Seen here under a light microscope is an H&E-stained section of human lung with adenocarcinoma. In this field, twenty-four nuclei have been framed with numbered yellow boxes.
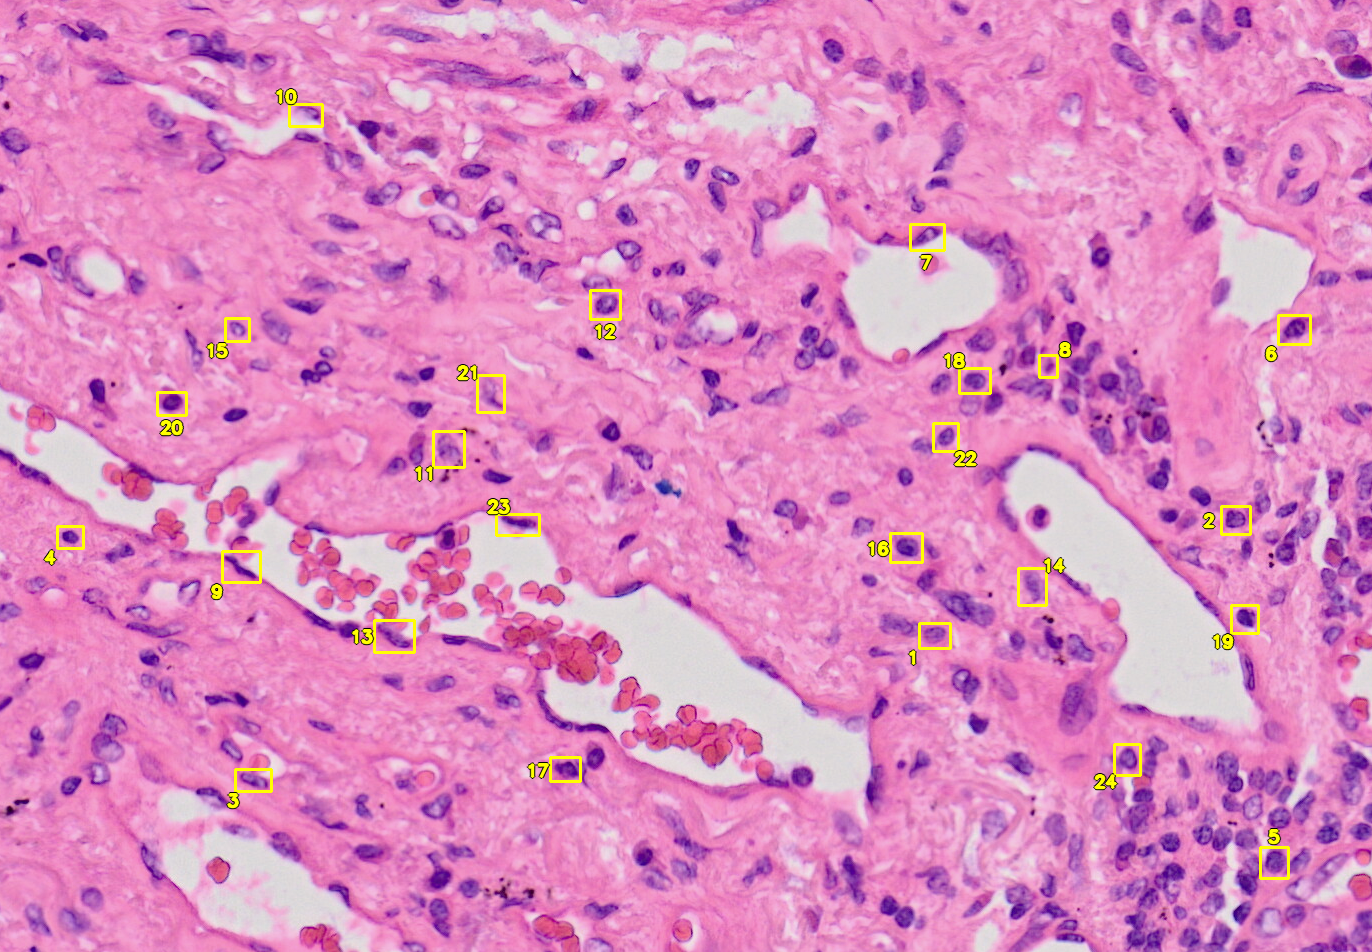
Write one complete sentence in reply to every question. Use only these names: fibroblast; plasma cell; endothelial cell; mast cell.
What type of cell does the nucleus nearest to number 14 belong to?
The cell nearest to number 14 is an endothelial cell.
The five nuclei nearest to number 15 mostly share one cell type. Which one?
Most of the five nuclei nearest to number 15 are those of fibroblasts.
